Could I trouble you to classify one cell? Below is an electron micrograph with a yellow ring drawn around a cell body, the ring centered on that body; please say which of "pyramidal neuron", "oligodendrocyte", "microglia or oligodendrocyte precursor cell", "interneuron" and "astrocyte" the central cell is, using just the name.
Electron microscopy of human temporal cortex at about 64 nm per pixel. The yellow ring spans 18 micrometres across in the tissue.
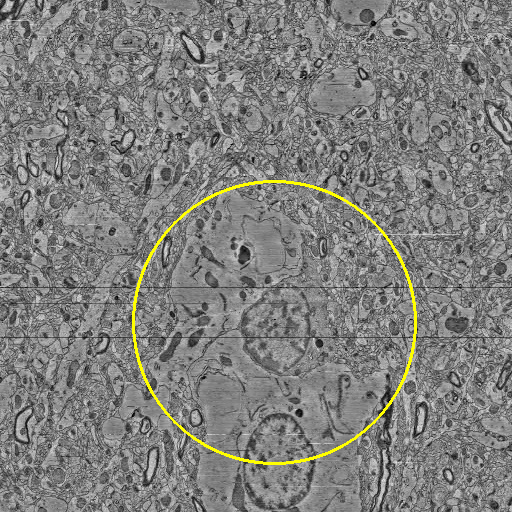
oligodendrocyte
